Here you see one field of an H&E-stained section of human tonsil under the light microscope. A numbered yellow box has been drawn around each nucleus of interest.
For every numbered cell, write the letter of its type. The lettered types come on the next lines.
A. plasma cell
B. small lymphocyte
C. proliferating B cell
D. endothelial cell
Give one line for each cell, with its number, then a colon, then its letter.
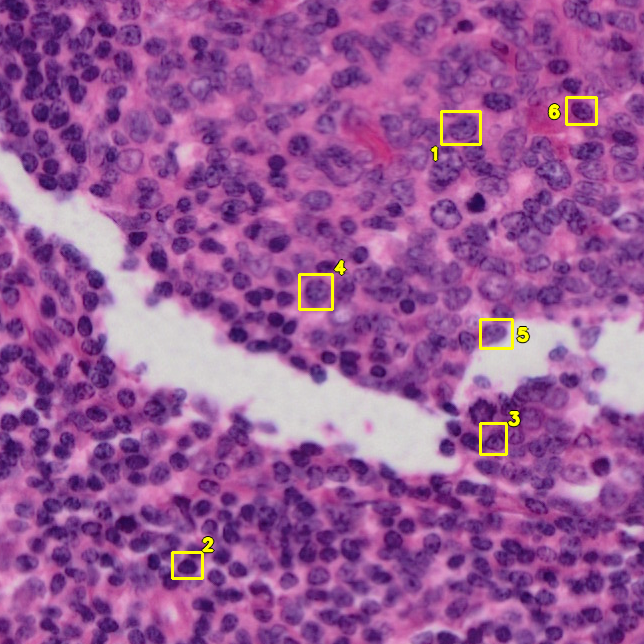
1: C
2: B
3: C
4: C
5: C
6: A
